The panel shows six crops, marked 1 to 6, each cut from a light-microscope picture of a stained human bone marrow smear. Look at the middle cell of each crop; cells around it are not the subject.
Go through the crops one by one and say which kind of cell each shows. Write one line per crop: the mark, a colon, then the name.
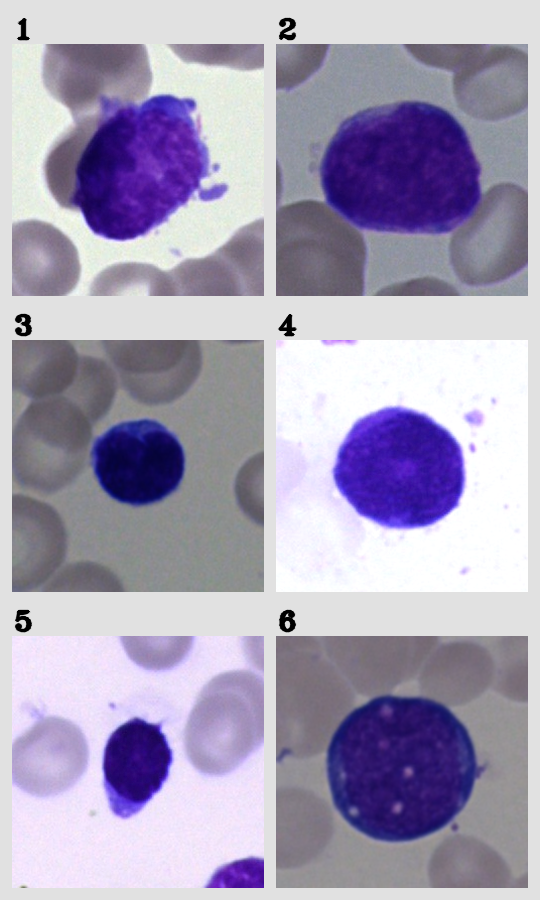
1: blast
2: blast
3: lymphocyte
4: blast
5: lymphocyte
6: blast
